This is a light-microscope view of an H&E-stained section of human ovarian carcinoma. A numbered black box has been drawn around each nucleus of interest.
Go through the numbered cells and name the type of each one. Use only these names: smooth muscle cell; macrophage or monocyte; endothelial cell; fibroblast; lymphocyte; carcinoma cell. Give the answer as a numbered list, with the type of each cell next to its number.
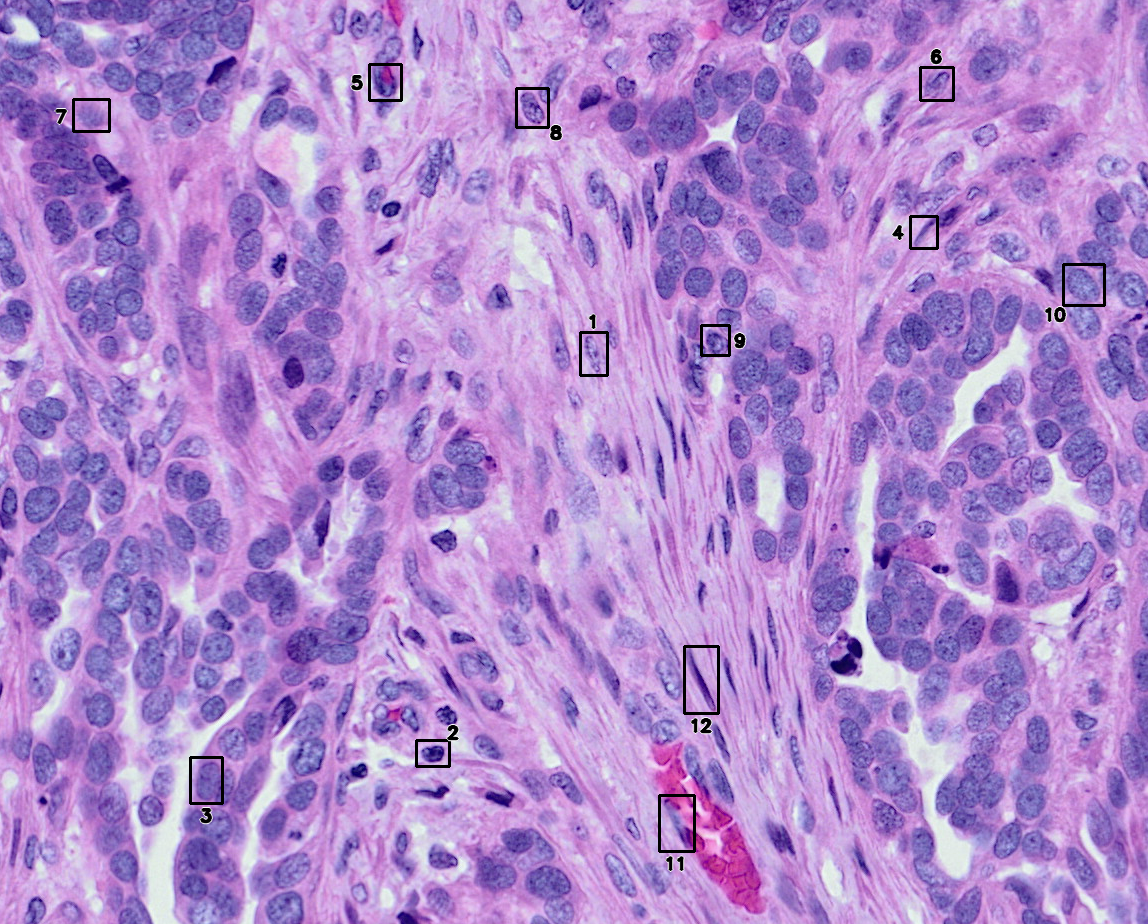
1. fibroblast
2. lymphocyte
3. carcinoma cell
4. fibroblast
5. endothelial cell
6. fibroblast
7. carcinoma cell
8. macrophage or monocyte
9. macrophage or monocyte
10. carcinoma cell
11. endothelial cell
12. fibroblast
